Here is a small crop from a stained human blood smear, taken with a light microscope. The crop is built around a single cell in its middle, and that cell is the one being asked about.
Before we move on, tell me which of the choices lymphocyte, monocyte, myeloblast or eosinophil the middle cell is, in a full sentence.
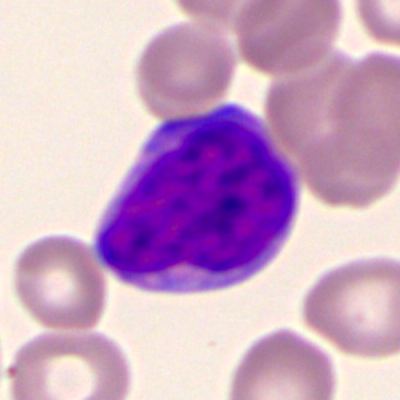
The centered cell in this crop is a myeloblast.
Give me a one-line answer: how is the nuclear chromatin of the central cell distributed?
The chromatin of this one is coarsely clumped.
